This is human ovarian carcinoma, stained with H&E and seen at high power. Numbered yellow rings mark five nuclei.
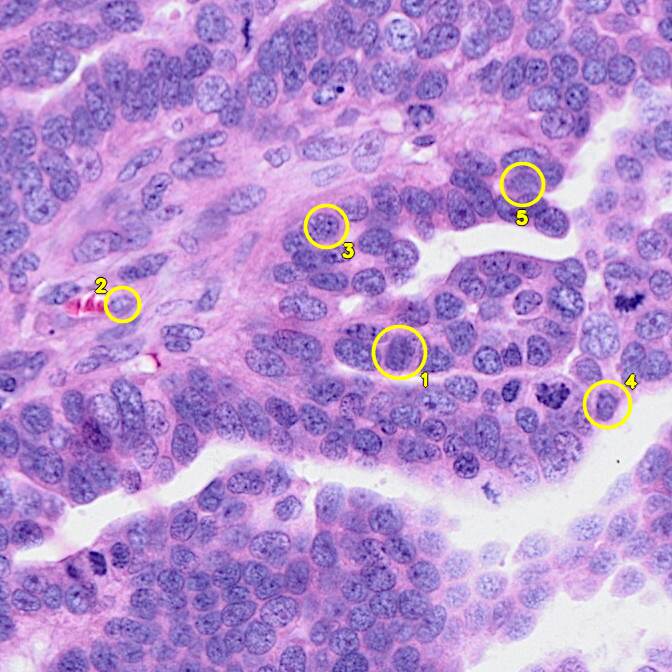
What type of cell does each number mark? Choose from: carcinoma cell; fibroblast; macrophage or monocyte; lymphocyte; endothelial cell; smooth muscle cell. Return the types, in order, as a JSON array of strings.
["carcinoma cell", "endothelial cell", "carcinoma cell", "macrophage or monocyte", "carcinoma cell"]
